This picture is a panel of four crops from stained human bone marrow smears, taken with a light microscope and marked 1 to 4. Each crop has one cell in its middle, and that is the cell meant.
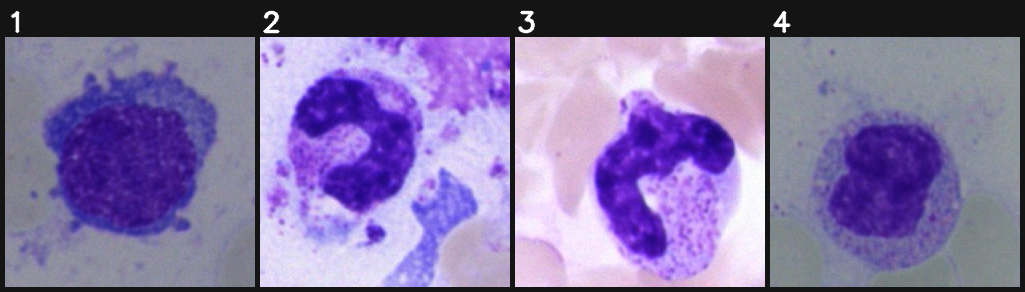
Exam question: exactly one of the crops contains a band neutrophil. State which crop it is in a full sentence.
It is the cell in crop 2 that is a band neutrophil.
